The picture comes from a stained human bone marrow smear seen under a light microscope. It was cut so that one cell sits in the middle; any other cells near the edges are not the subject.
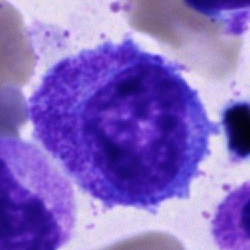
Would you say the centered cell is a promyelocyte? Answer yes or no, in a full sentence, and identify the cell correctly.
Yes, the cell placed centrally within the crop is a promyelocyte.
